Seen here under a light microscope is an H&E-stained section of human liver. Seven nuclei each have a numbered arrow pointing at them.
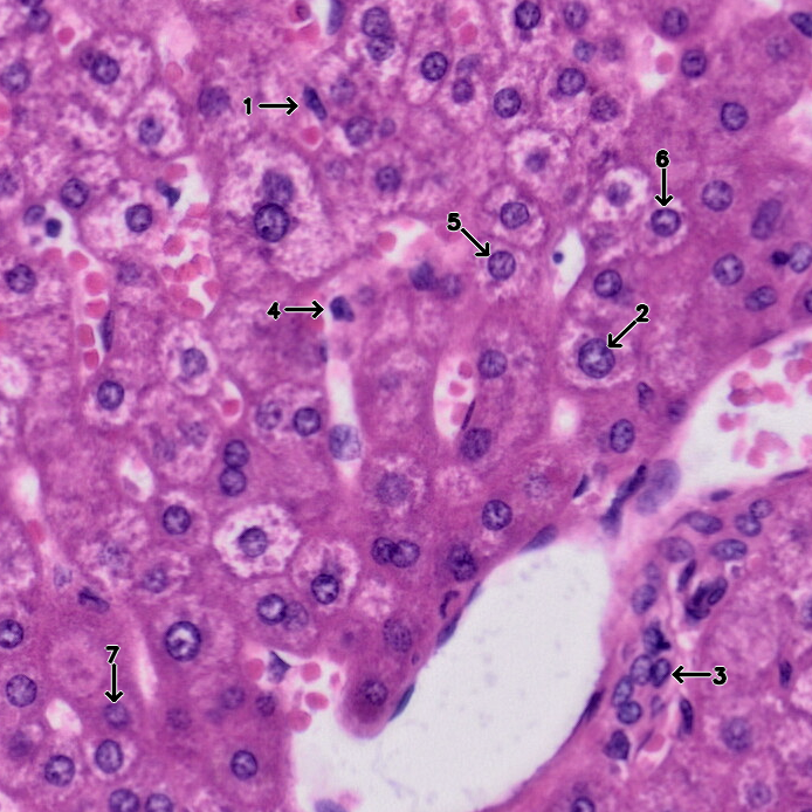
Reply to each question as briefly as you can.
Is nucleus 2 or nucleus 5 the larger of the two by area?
2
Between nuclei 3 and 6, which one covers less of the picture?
3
